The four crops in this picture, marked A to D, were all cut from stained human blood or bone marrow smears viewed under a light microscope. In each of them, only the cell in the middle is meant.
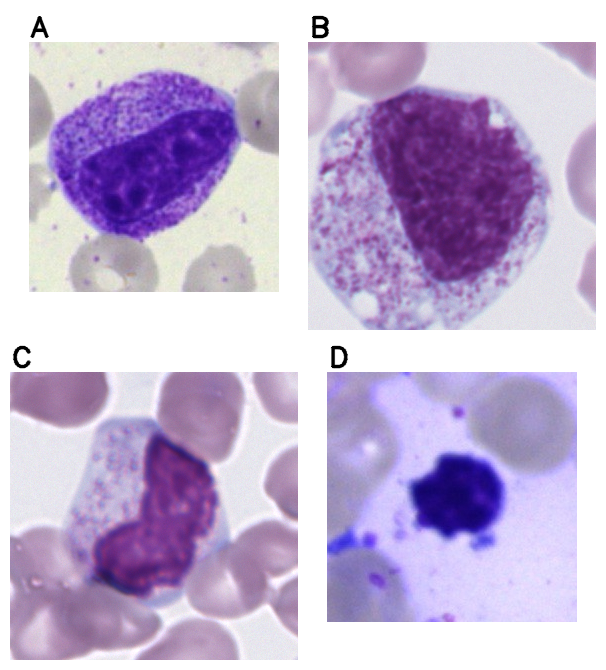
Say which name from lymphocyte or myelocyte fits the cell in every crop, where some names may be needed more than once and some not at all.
A: myelocyte
B: myelocyte
C: myelocyte
D: lymphocyte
